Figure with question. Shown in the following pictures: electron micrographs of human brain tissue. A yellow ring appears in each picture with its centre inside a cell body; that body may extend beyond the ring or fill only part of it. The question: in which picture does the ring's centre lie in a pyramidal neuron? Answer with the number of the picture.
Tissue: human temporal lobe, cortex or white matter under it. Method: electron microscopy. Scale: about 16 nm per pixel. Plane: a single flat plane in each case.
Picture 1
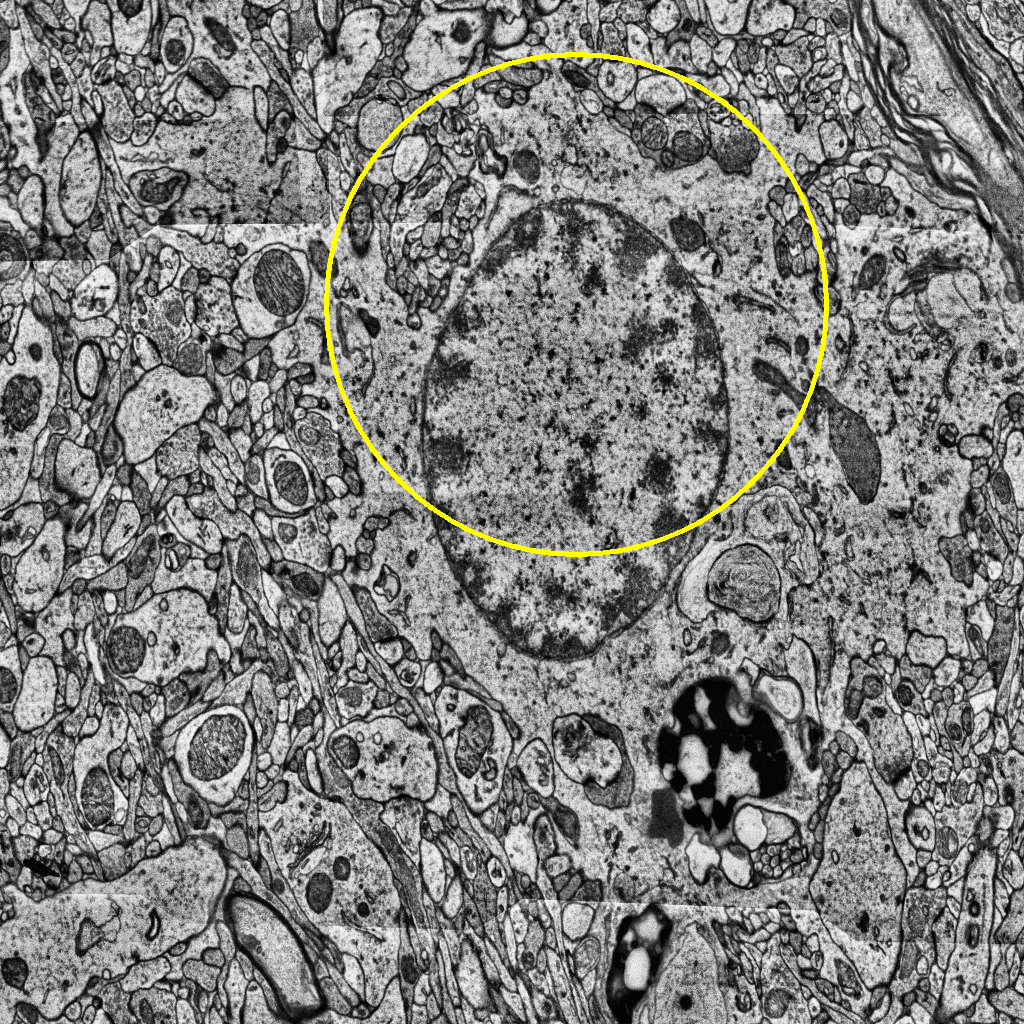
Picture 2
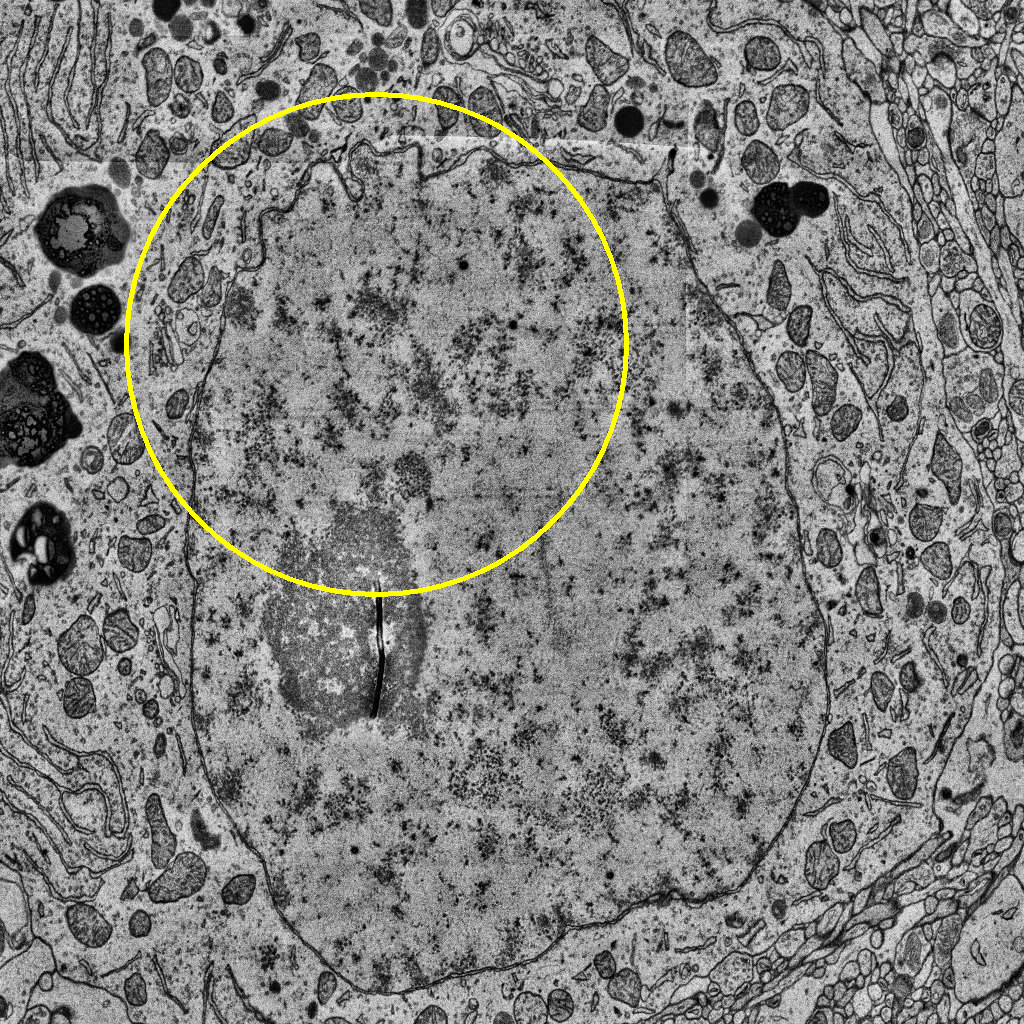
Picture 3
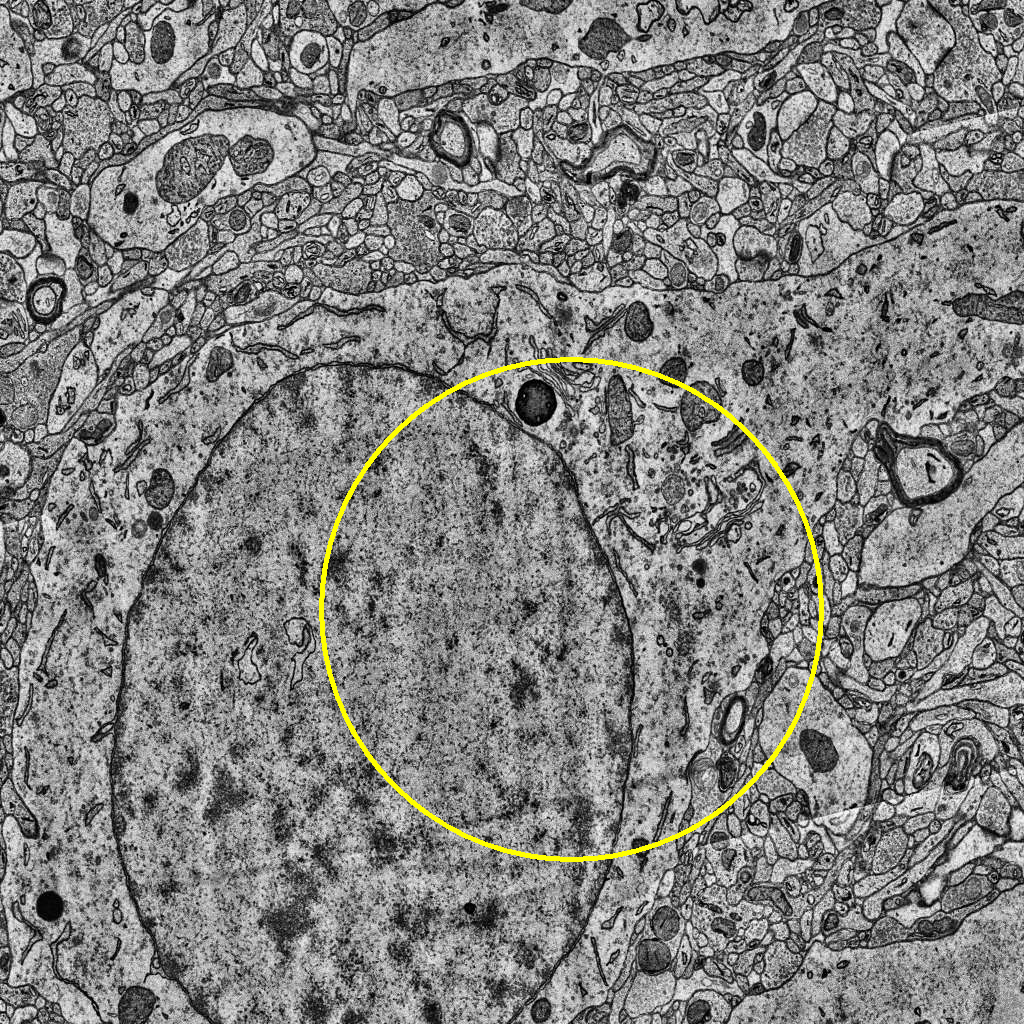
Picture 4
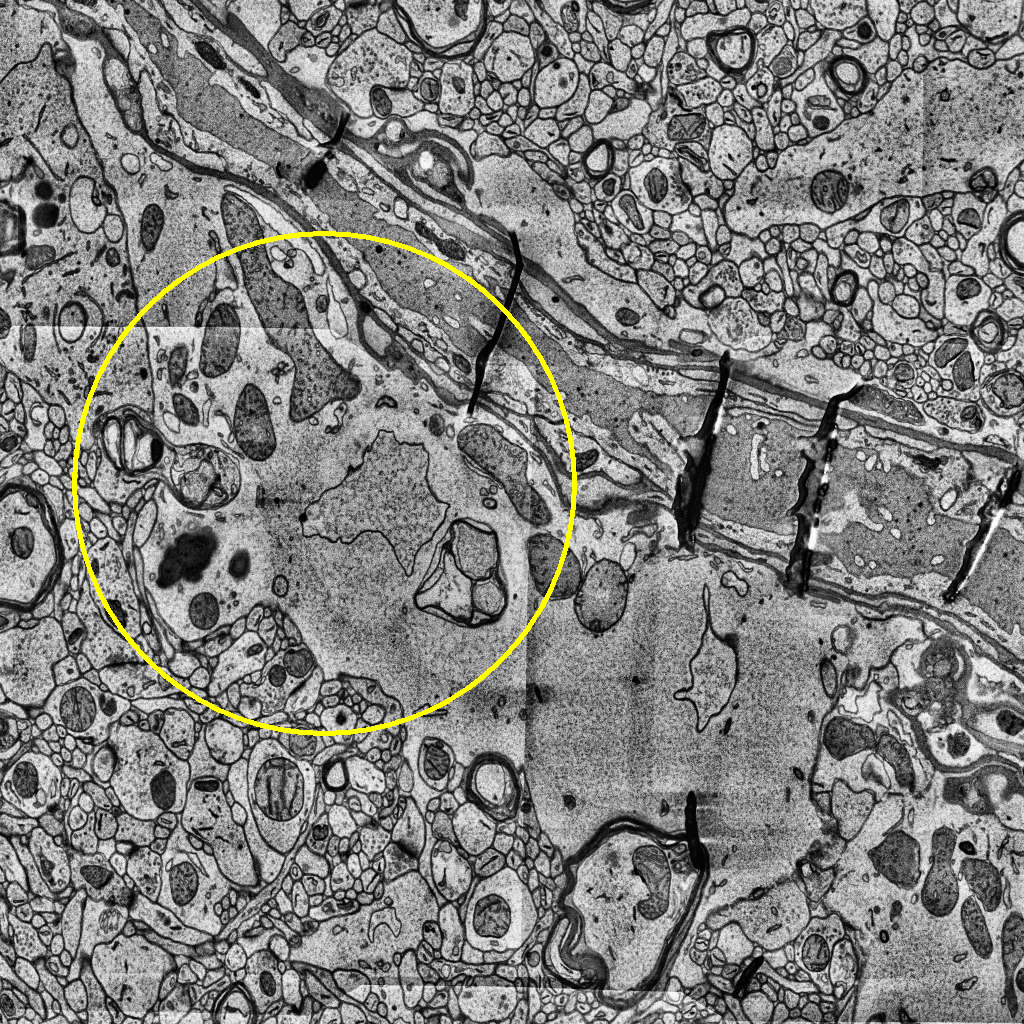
3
